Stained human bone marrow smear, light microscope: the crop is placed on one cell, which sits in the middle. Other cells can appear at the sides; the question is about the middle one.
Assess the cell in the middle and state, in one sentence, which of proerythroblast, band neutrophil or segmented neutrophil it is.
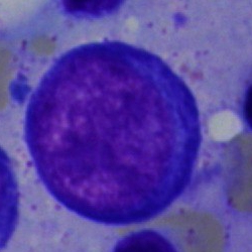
The cell featured at the centre of this crop is a proerythroblast.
